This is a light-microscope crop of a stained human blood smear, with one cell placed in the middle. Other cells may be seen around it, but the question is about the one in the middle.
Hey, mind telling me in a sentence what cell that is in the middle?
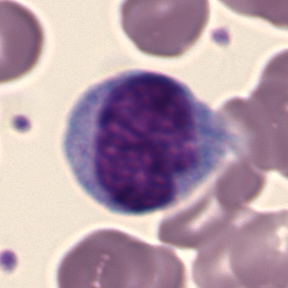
In short, the cell at the center is a monocyte.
